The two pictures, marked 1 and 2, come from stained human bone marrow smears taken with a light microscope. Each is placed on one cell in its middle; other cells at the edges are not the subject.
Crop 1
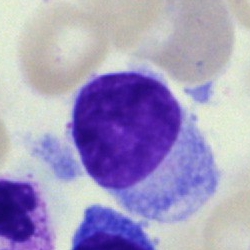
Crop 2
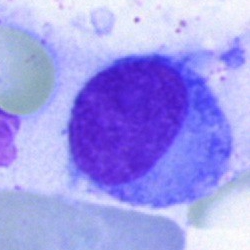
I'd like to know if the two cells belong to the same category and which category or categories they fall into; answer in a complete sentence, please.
Yes, both crops in the pair show hairy cells.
